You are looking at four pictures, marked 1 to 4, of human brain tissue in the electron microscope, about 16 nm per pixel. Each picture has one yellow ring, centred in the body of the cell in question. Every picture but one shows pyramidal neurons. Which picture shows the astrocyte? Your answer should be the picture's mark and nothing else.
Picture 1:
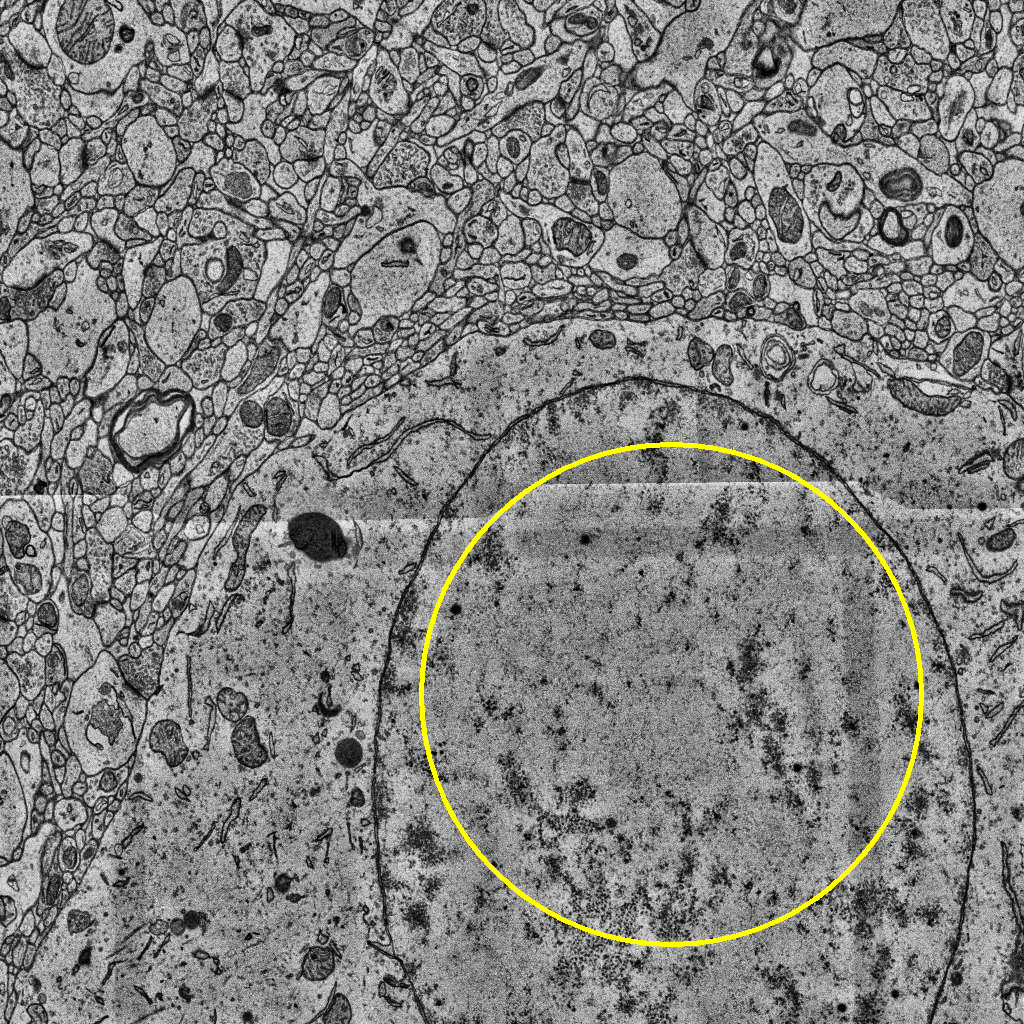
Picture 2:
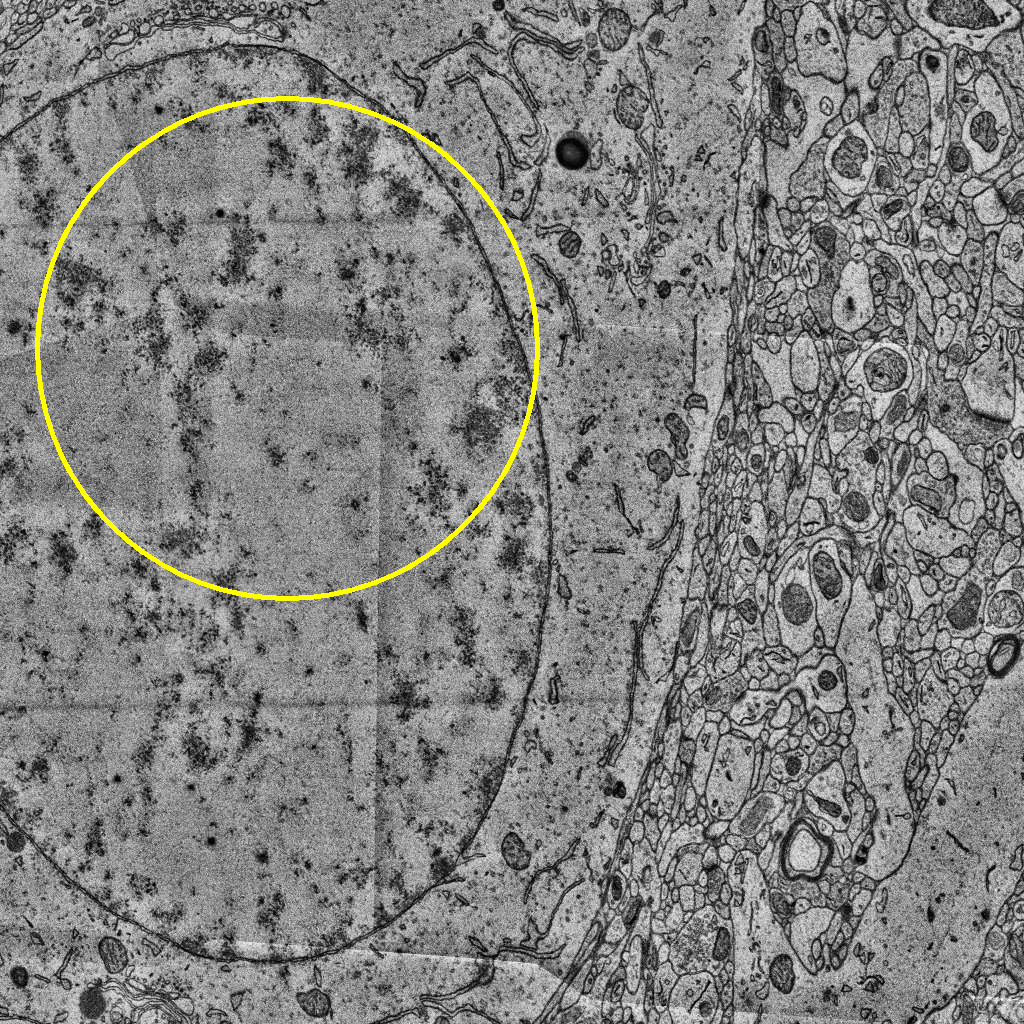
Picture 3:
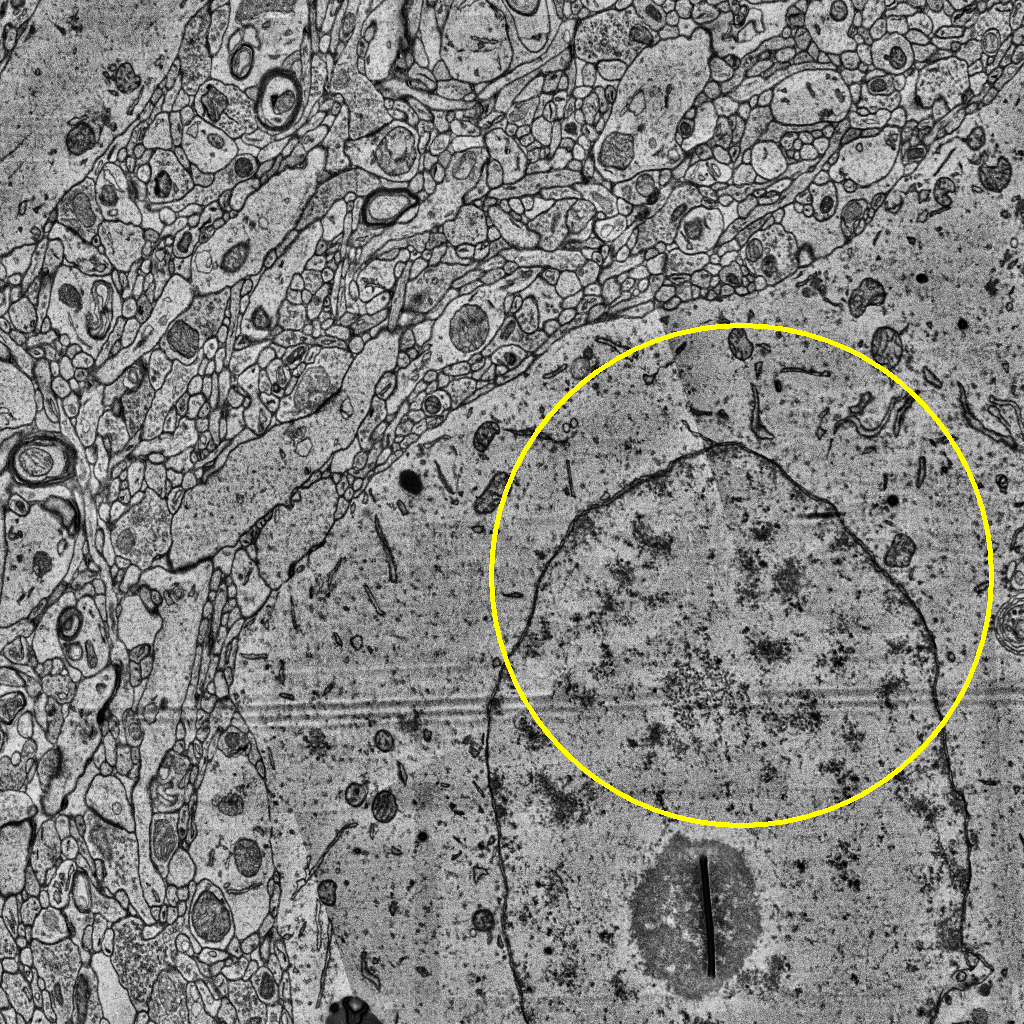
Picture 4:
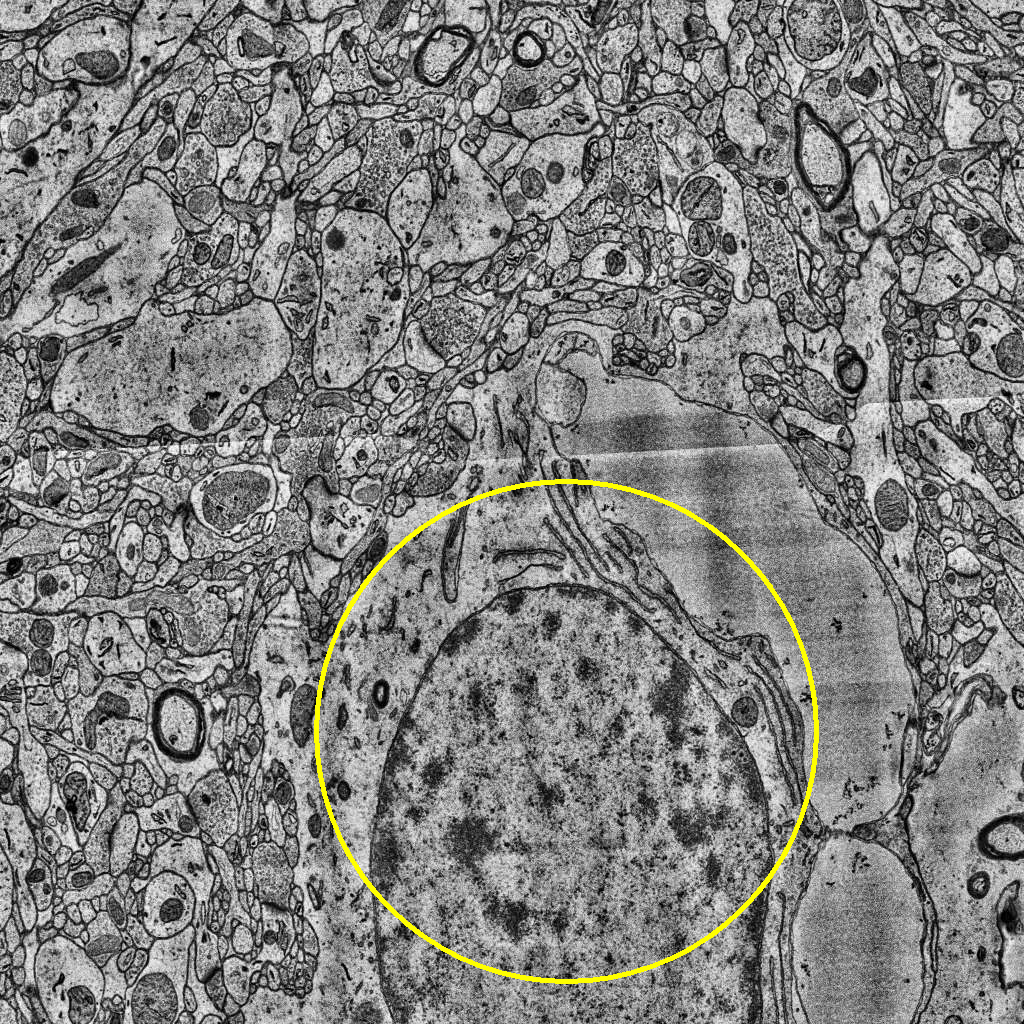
4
